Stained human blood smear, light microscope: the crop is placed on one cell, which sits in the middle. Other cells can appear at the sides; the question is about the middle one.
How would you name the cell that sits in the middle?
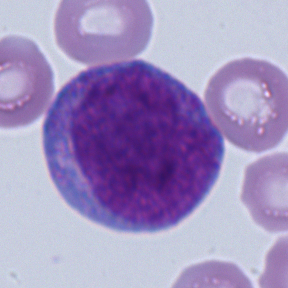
promyelocyte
